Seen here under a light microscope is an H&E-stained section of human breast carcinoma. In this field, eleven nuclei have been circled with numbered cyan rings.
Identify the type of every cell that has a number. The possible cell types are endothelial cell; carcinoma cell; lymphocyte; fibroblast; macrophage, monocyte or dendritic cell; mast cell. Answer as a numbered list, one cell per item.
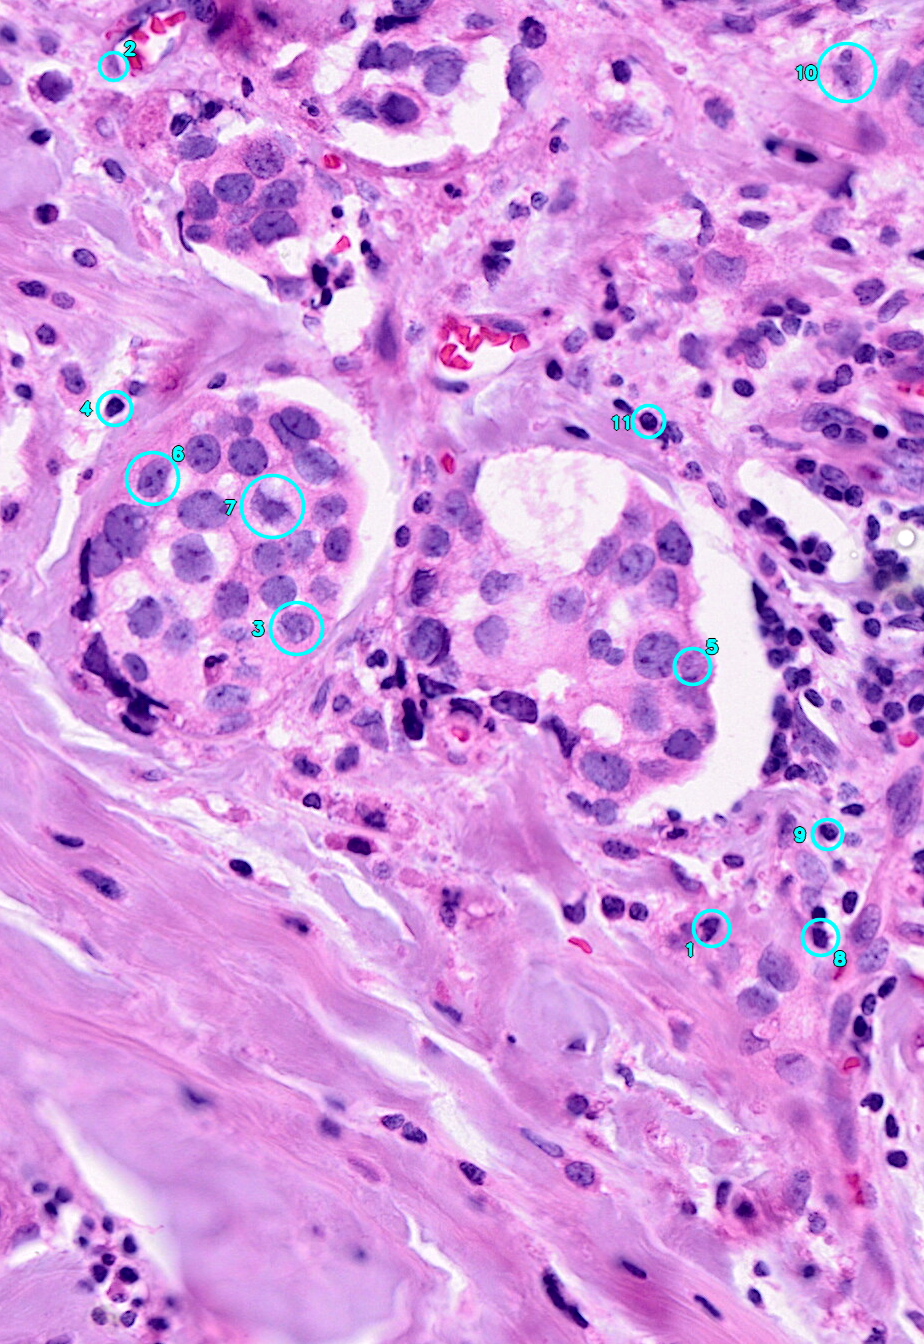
1. lymphocyte
2. endothelial cell
3. carcinoma cell
4. lymphocyte
5. carcinoma cell
6. carcinoma cell
7. carcinoma cell
8. lymphocyte
9. lymphocyte
10. fibroblast
11. lymphocyte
